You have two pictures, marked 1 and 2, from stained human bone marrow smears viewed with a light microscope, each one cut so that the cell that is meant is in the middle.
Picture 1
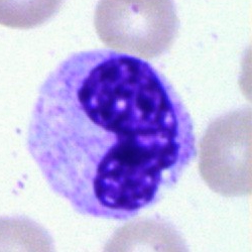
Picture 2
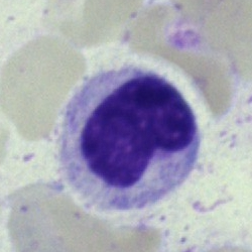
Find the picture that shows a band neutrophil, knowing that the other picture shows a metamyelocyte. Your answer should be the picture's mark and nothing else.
1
